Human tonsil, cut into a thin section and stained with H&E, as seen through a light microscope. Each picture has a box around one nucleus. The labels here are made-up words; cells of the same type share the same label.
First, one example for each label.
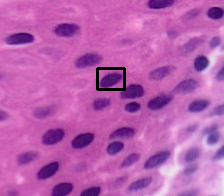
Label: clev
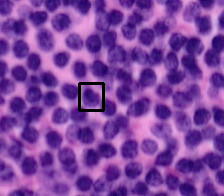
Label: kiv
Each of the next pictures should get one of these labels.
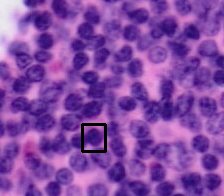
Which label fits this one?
kiv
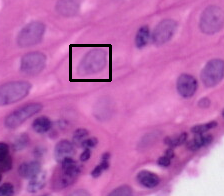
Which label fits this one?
clev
